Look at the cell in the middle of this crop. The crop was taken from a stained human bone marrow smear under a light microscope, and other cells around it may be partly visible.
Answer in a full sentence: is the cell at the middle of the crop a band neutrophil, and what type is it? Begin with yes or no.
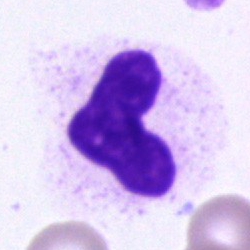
Yes, the cell centred in this crop is a band neutrophil.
